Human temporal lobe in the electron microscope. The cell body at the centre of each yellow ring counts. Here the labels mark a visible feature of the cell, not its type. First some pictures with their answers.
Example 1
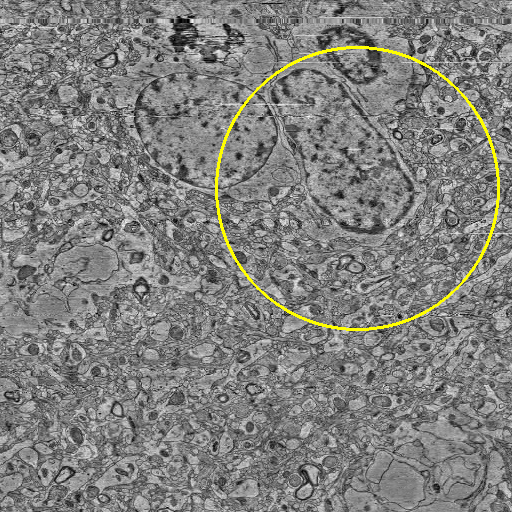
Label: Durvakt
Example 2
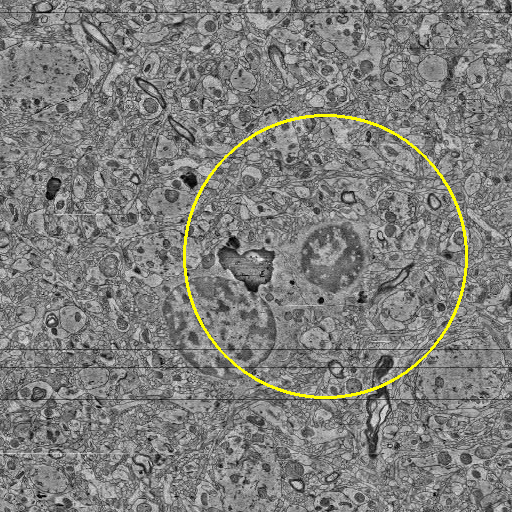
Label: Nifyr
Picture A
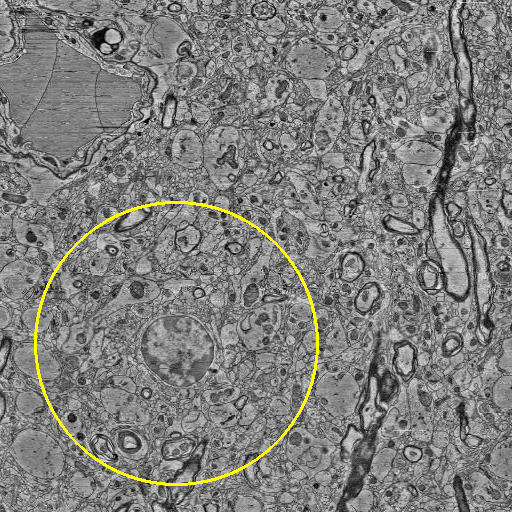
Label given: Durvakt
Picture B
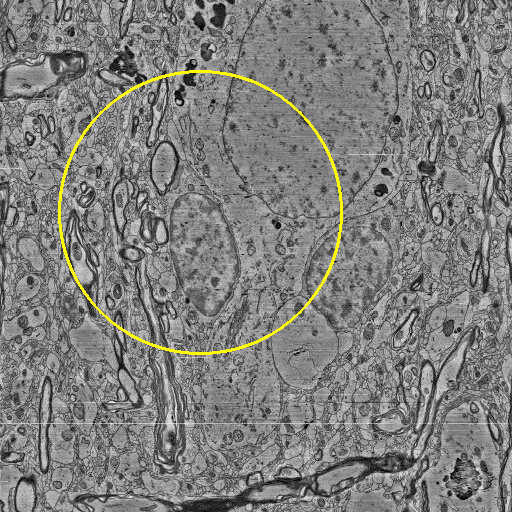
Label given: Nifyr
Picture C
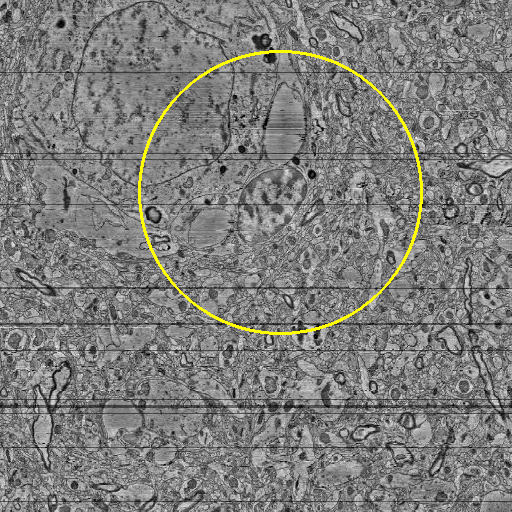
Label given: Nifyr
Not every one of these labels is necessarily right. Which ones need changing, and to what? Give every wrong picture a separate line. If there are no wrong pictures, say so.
A: change Durvakt to Nifyr
B: change Nifyr to Durvakt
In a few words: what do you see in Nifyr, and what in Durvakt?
Nifyr: round or nearly round nuclei; Durvakt: clearly elongated nuclei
